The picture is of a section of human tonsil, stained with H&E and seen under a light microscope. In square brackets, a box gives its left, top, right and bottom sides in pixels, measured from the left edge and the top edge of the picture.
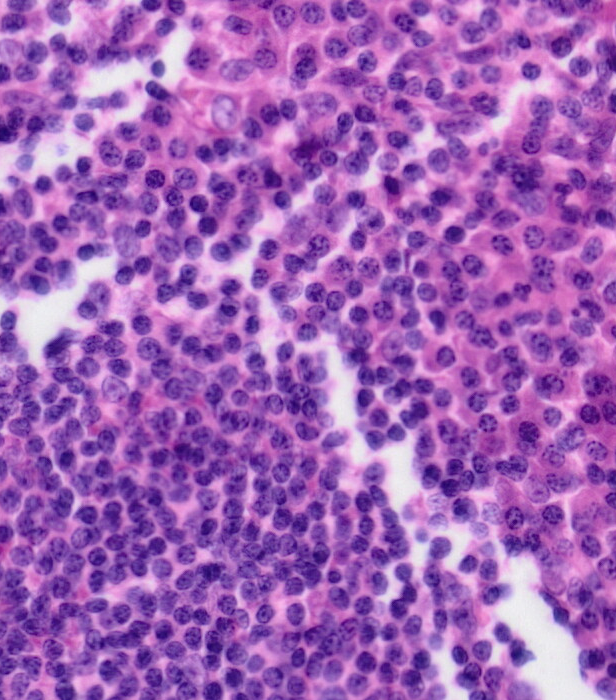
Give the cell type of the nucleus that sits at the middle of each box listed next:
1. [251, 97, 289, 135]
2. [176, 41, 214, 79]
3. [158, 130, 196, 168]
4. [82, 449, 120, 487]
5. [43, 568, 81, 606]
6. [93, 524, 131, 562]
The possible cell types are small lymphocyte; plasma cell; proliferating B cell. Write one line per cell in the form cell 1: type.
cell 1: plasma cell
cell 2: plasma cell
cell 3: plasma cell
cell 4: small lymphocyte
cell 5: small lymphocyte
cell 6: small lymphocyte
